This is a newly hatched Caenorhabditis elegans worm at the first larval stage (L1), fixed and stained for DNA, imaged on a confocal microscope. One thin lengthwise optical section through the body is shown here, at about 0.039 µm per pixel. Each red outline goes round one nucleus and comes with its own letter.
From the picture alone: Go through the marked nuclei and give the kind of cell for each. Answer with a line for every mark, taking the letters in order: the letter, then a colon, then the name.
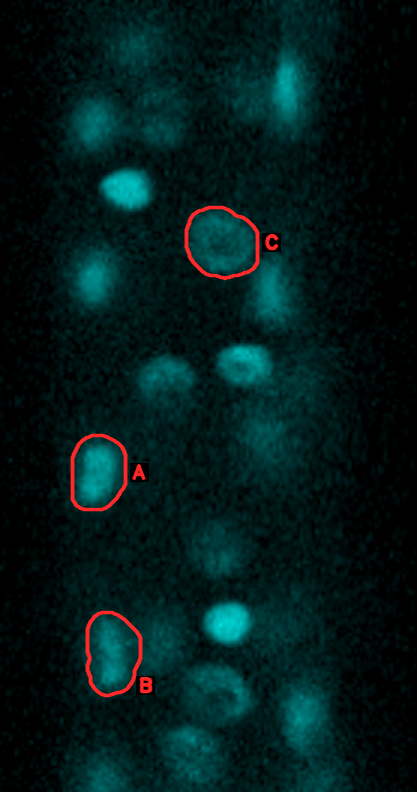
A: body wall muscle cell
B: body wall muscle cell
C: seam cell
